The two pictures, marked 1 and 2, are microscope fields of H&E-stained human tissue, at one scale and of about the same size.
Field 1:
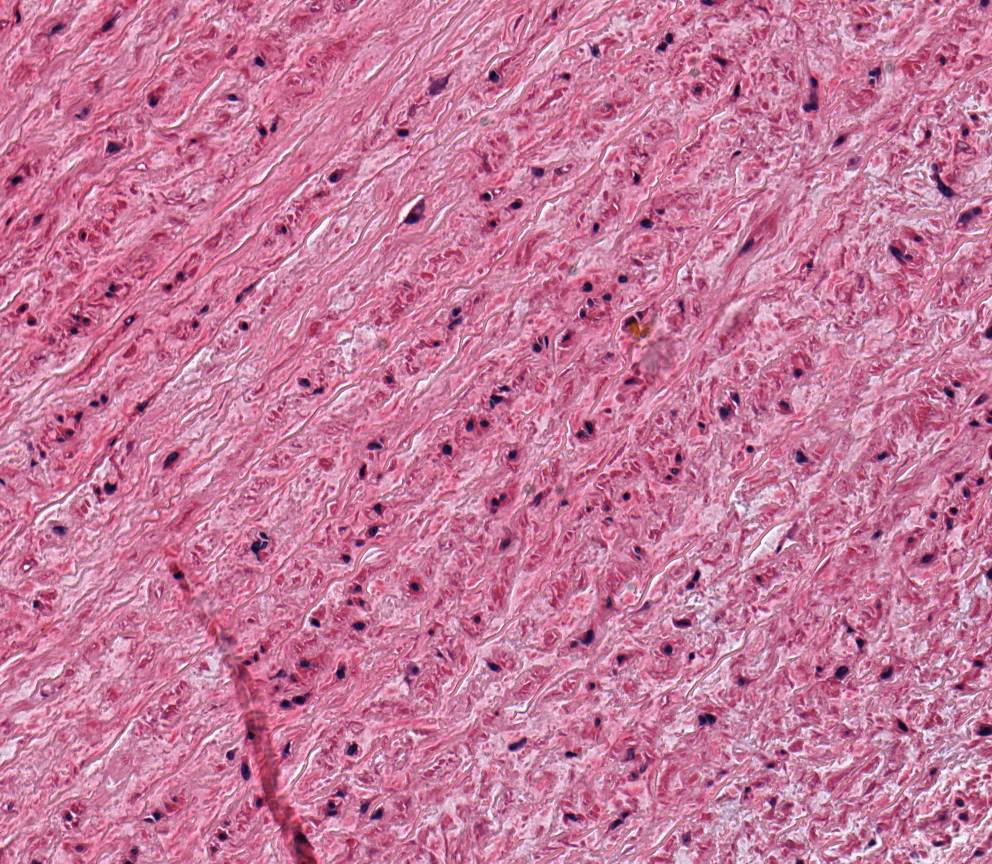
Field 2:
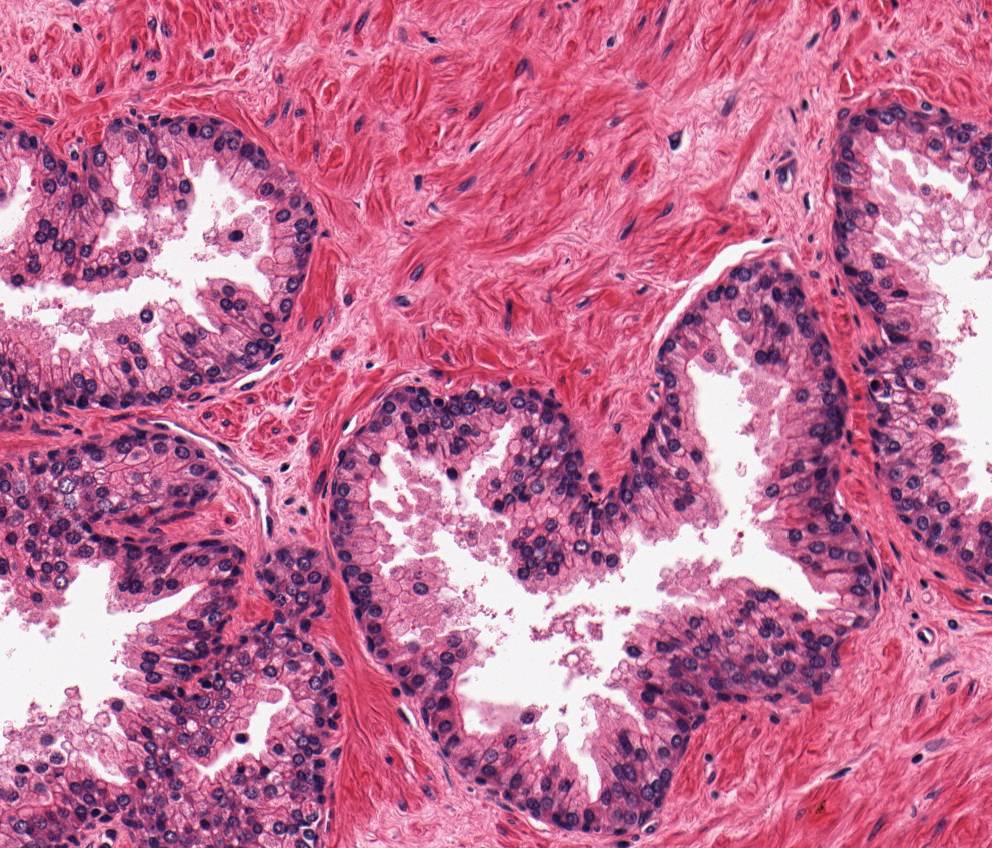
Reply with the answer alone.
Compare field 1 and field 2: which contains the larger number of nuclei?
2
